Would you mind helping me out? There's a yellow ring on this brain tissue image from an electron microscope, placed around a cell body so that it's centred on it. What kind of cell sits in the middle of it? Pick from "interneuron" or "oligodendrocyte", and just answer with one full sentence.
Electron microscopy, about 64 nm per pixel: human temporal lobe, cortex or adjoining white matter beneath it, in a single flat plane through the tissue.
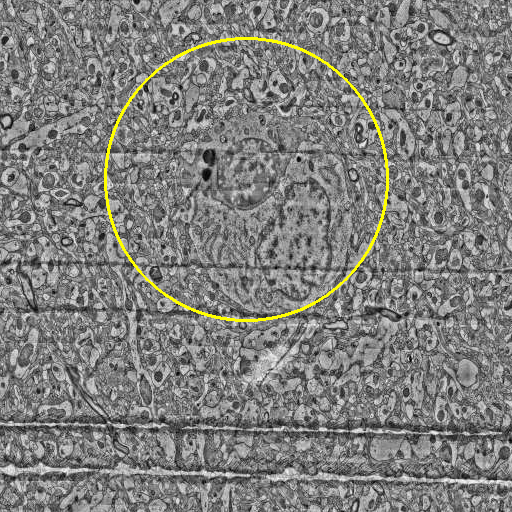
What sits in the middle of that yellow ring is an oligodendrocyte, from your choices.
